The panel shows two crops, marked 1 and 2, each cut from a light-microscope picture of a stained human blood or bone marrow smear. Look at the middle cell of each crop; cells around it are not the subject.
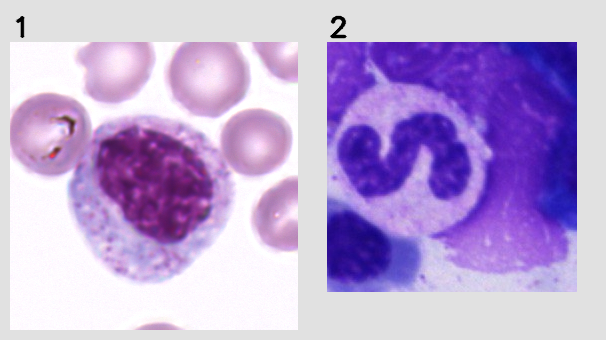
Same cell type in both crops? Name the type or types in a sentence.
No, crop 1 features a metamyelocyte, while crop 2 features a band neutrophil.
